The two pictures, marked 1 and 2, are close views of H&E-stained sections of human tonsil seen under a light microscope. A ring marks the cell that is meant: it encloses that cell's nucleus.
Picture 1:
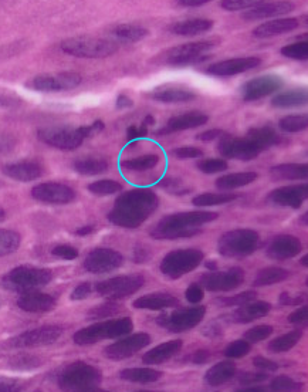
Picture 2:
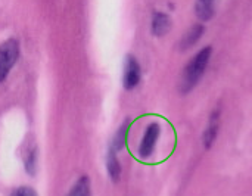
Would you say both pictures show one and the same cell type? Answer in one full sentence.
No, they differ: the cell is a squamous epithelial cell in picture 1 and a mast cell in picture 2.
